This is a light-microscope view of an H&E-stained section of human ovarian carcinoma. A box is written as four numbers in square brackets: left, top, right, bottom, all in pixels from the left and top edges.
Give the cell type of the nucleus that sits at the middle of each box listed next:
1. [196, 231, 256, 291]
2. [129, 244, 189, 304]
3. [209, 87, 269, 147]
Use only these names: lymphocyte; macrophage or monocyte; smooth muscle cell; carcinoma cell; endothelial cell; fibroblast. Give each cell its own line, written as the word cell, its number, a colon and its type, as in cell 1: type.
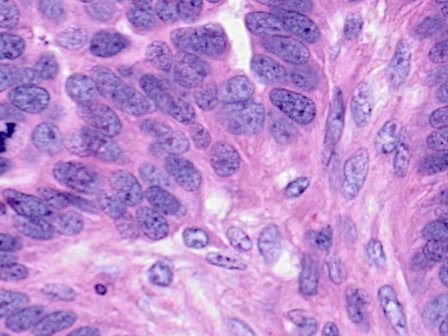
cell 1: fibroblast
cell 2: fibroblast
cell 3: carcinoma cell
